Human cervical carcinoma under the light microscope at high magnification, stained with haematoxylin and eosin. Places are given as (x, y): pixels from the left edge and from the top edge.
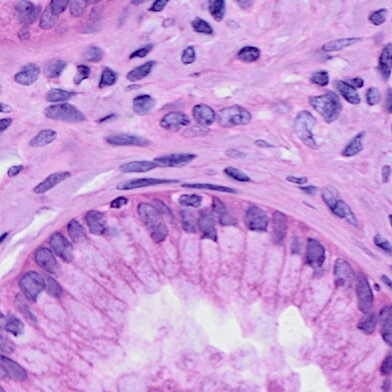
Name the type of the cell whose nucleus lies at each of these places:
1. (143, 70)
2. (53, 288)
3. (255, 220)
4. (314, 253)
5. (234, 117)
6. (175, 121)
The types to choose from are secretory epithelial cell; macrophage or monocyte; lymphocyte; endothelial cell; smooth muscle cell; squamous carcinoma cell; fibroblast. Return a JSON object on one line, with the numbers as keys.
{"1": "fibroblast", "2": "secretory epithelial cell", "3": "secretory epithelial cell", "4": "secretory epithelial cell", "5": "endothelial cell", "6": "endothelial cell"}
